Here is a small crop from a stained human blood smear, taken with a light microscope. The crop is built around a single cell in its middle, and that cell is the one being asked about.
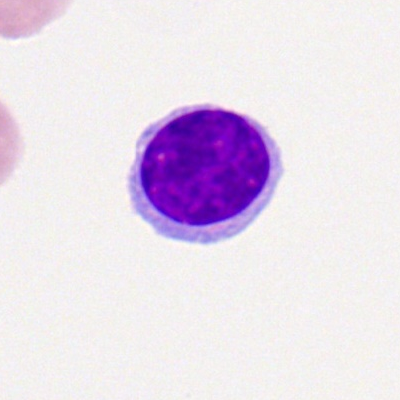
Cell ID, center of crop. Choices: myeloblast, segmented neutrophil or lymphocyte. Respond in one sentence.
The middle position in this crop is taken by a lymphocyte.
